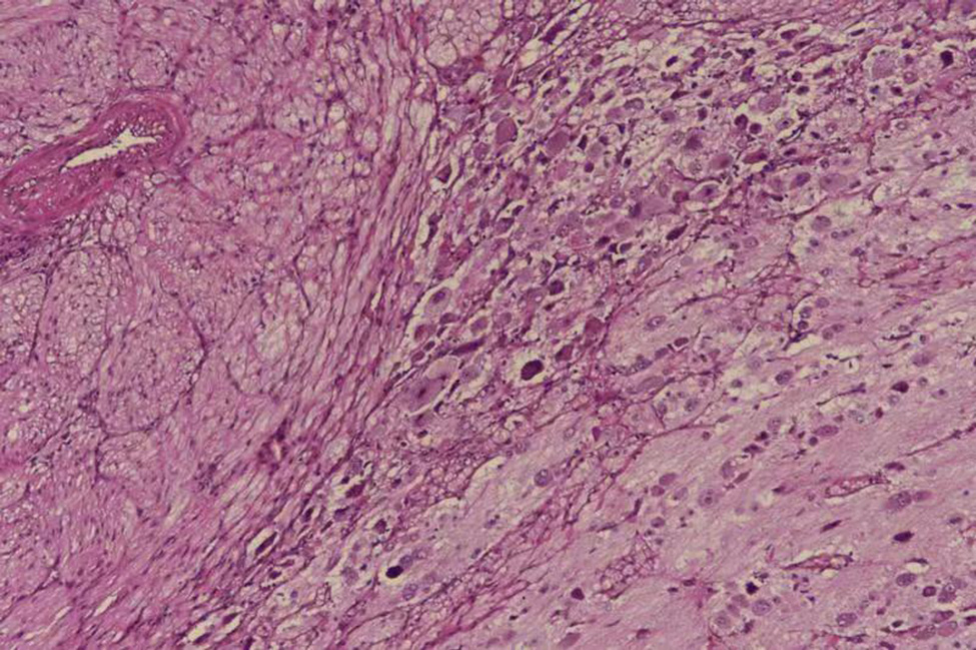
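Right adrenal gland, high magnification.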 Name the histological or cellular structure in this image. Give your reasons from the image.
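On the right, cells with round nuclei sit in a fine pink fibrillary background. The fibrillary pink material lies between scattered tumour cells. That points to this answer: neuropils.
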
